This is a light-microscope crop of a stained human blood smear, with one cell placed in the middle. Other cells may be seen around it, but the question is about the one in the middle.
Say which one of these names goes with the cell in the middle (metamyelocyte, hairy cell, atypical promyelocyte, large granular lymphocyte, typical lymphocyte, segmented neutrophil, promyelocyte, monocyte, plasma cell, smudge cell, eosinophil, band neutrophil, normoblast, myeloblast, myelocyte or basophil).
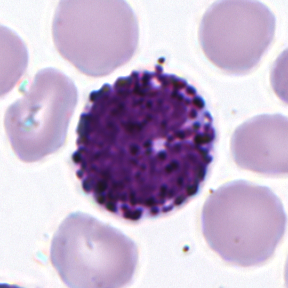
basophil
